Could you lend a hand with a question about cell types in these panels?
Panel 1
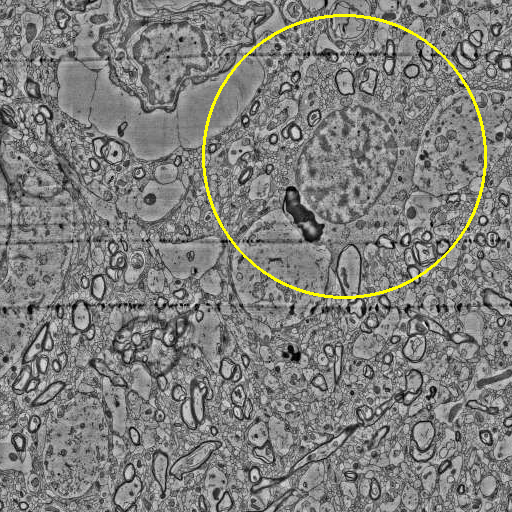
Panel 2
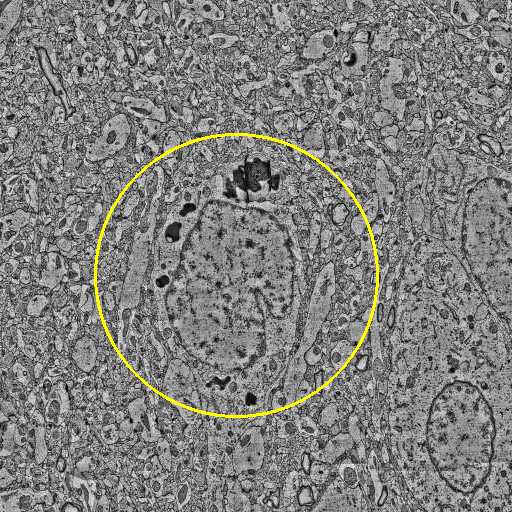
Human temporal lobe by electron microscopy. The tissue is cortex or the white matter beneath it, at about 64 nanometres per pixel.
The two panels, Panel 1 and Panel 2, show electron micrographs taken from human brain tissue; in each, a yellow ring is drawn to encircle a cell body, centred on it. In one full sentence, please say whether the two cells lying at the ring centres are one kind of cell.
No, the cells at the ring centres in the two panels are two kinds of cell.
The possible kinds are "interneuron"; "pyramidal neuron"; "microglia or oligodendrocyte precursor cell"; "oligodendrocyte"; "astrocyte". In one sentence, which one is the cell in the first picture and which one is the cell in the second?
The cell ringed in the second picture is an interneuron, whereas the one ringed in the first is an oligodendrocyte.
